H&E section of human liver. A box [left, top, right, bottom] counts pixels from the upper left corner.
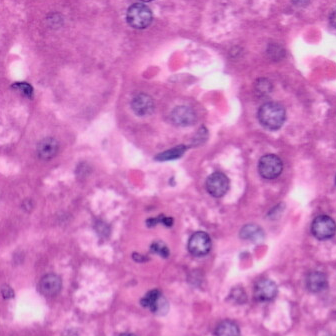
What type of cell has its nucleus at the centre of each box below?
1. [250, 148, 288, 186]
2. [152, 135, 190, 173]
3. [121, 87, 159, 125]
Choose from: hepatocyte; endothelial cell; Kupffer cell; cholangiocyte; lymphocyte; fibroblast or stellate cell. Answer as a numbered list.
1. hepatocyte
2. fibroblast or stellate cell
3. hepatocyte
